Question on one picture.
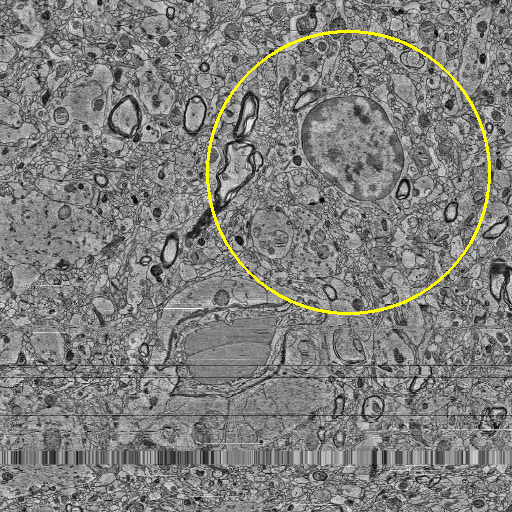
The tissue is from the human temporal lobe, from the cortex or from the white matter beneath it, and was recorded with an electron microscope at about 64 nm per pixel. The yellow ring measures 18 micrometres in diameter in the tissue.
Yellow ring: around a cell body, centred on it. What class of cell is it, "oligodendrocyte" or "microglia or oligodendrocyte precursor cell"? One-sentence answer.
This is a microglial cell or oligodendrocyte precursor cell, the cell the ring is centred on.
